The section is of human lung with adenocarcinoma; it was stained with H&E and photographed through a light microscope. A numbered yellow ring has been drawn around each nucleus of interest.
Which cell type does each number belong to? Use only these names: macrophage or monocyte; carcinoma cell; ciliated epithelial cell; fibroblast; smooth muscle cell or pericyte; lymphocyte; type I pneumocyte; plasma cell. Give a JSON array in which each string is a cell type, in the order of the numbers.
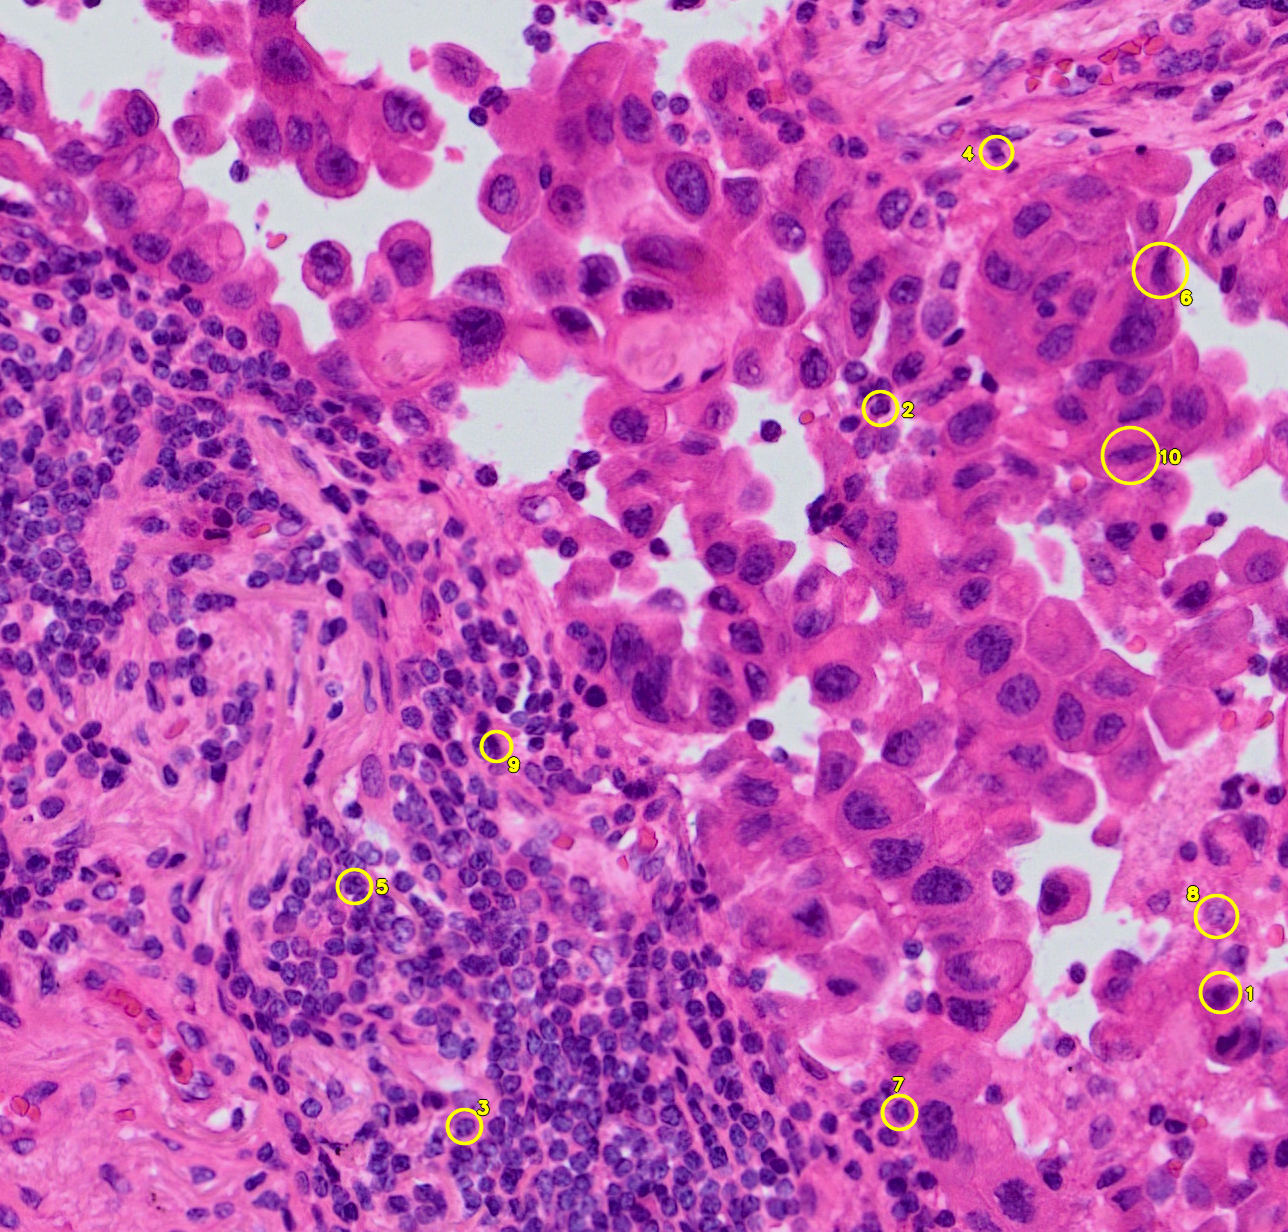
["carcinoma cell", "lymphocyte", "lymphocyte", "lymphocyte", "lymphocyte", "carcinoma cell", "lymphocyte", "macrophage or monocyte", "lymphocyte", "carcinoma cell"]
